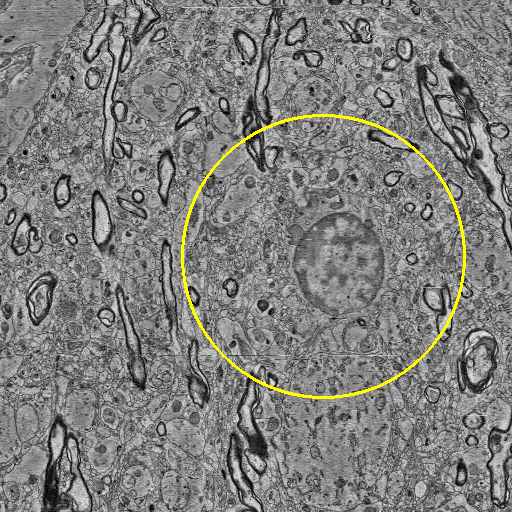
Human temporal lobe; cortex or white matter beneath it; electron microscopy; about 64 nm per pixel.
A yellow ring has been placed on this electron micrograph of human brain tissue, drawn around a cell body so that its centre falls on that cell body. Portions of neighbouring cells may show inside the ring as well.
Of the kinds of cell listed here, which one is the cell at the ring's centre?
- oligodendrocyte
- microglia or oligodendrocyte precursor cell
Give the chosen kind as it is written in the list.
oligodendrocyte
